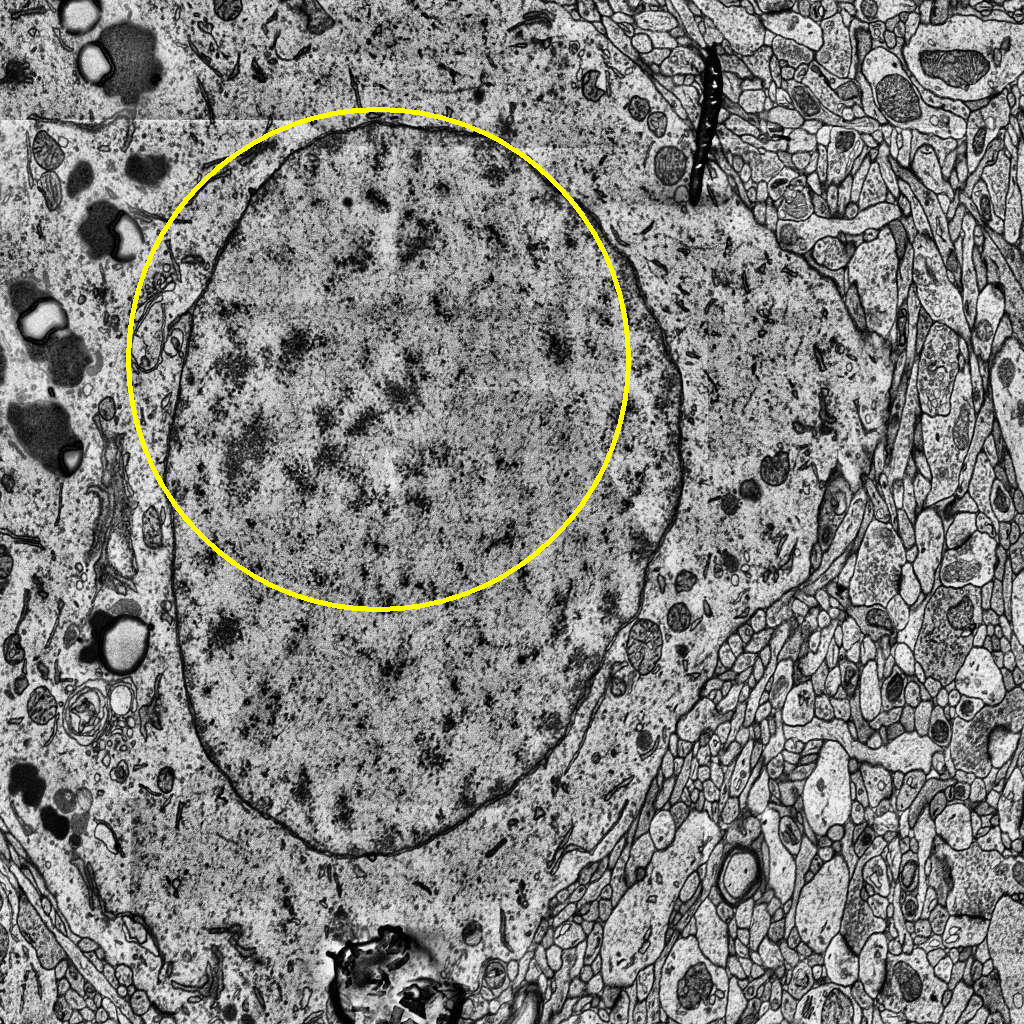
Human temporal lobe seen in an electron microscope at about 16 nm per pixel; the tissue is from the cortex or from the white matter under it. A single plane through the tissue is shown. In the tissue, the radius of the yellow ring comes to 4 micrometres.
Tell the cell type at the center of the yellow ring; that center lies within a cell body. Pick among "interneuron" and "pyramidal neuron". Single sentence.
The ring's center lies in the body of a pyramidal neuron.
